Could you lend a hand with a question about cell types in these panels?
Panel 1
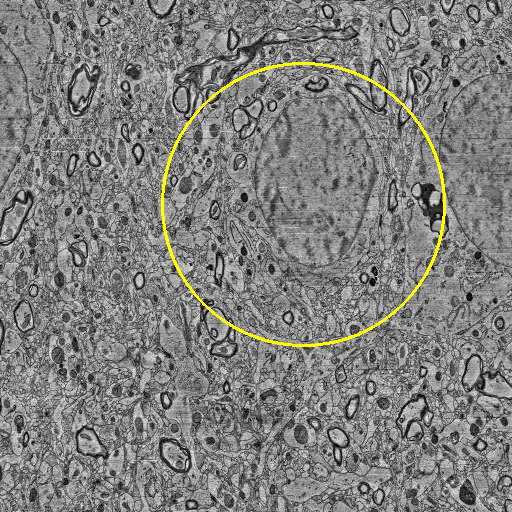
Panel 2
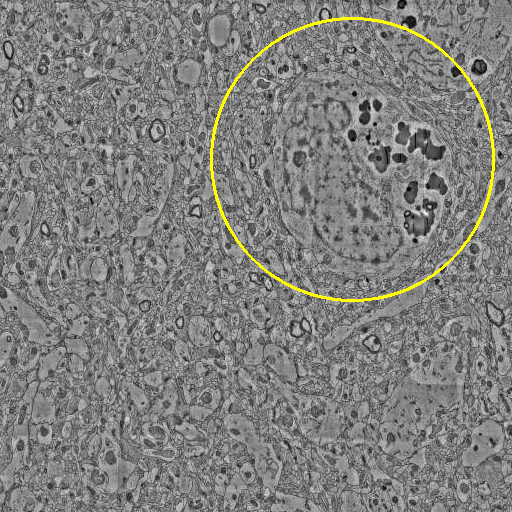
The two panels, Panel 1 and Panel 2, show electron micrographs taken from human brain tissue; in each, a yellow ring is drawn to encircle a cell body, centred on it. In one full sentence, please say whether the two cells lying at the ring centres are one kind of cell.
Yes, the cells at the ring centres in the two panels are one kind of cell.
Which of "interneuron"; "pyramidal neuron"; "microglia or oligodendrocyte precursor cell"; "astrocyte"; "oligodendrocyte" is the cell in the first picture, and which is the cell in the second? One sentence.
In the first picture and in the second, the ring is centred on an interneuron.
